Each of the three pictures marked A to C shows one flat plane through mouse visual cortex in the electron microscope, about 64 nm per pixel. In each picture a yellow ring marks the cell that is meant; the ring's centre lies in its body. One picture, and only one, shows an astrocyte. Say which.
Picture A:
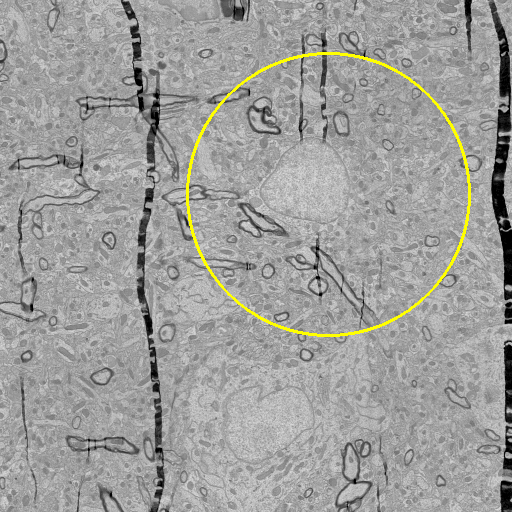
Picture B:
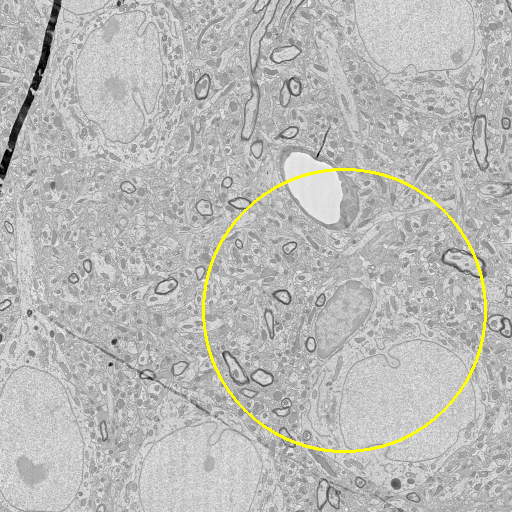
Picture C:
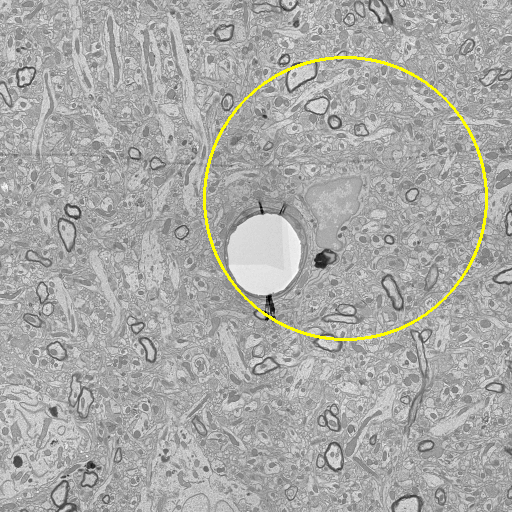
Picture A shows the astrocyte.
